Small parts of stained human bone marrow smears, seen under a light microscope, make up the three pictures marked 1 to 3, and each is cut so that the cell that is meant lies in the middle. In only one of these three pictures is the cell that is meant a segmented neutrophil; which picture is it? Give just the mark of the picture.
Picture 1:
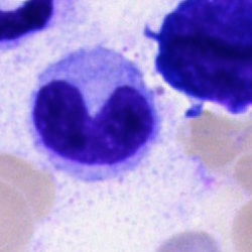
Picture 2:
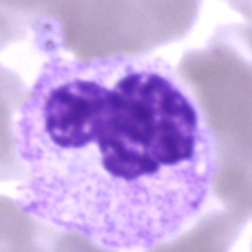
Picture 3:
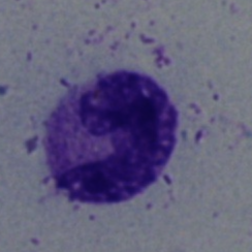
2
